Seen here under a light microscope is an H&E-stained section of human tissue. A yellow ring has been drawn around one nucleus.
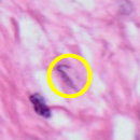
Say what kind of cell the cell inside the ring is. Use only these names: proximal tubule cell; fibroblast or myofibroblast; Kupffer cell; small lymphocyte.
fibroblast or myofibroblast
